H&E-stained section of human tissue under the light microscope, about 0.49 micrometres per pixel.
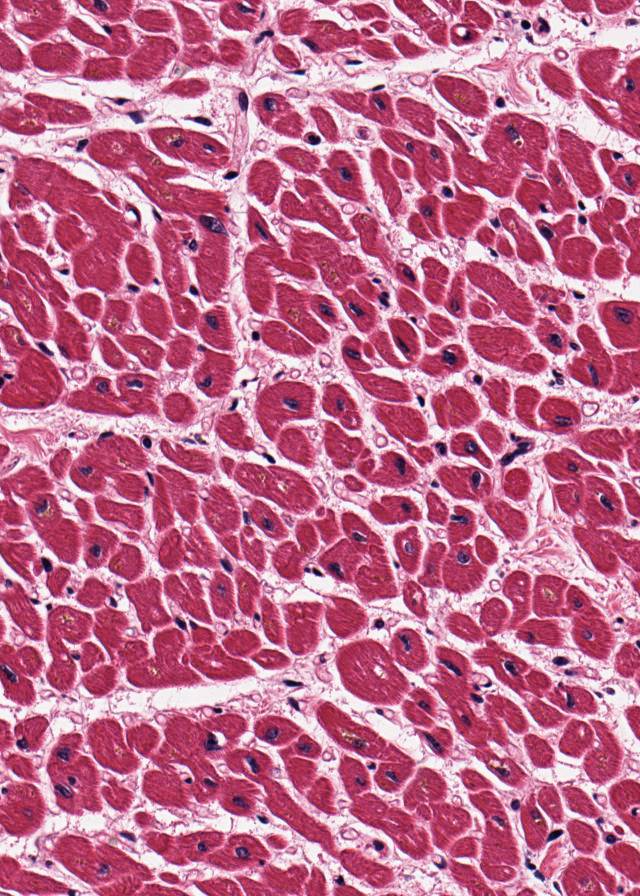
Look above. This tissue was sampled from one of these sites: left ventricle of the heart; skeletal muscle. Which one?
left ventricle of the heart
